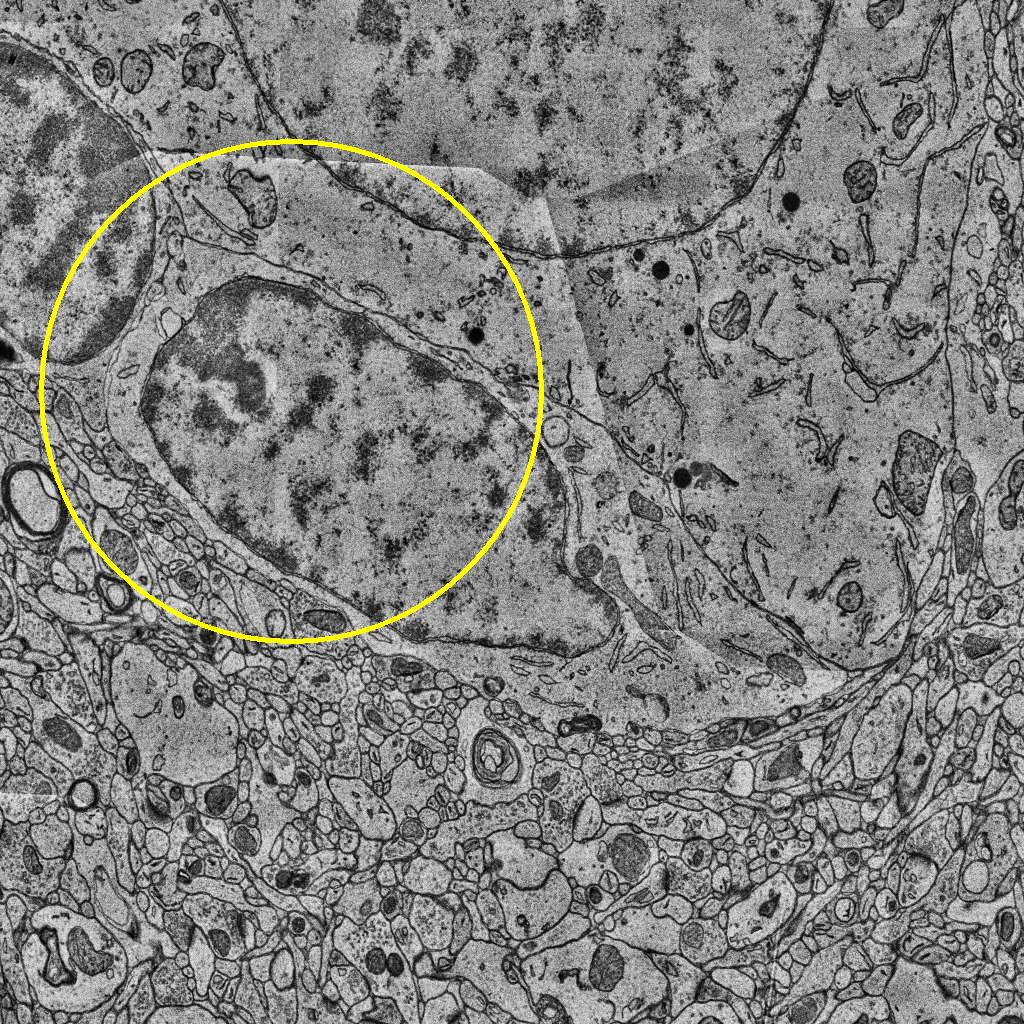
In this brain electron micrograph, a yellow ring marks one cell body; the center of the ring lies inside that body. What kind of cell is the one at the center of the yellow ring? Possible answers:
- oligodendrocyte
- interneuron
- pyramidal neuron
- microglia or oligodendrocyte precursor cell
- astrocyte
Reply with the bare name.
microglia or oligodendrocyte precursor cell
